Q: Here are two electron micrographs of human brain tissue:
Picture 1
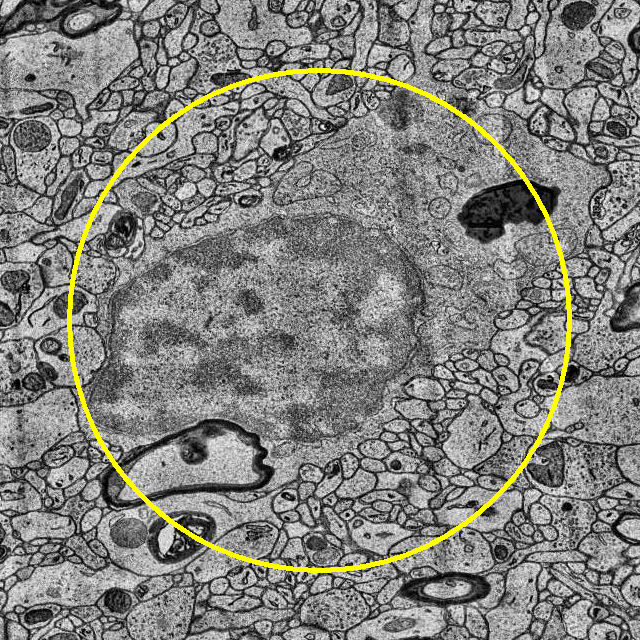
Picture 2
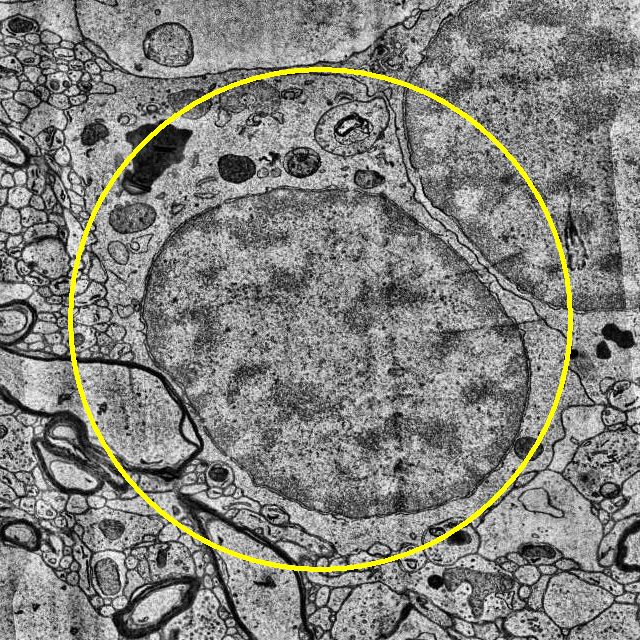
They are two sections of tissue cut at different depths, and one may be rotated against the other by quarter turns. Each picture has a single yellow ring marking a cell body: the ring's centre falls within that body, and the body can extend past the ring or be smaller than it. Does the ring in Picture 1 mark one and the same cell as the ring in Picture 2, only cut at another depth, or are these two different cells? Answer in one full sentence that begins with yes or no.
No, the two rings refer to two distinct cells.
